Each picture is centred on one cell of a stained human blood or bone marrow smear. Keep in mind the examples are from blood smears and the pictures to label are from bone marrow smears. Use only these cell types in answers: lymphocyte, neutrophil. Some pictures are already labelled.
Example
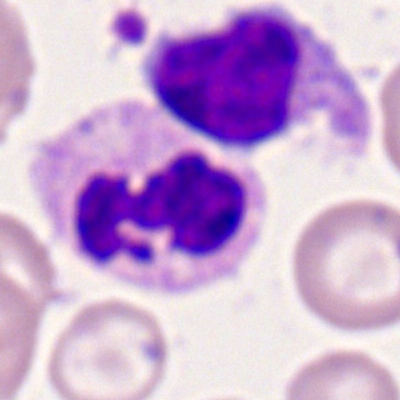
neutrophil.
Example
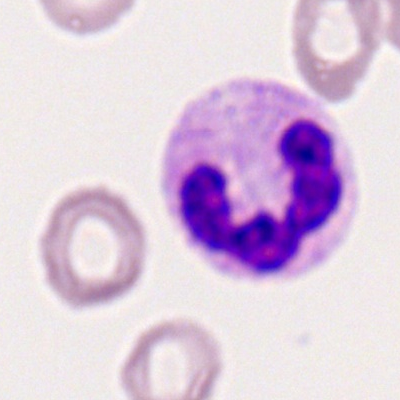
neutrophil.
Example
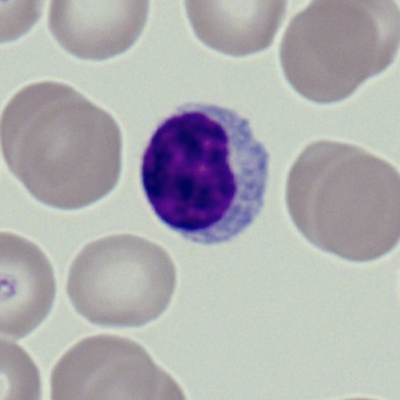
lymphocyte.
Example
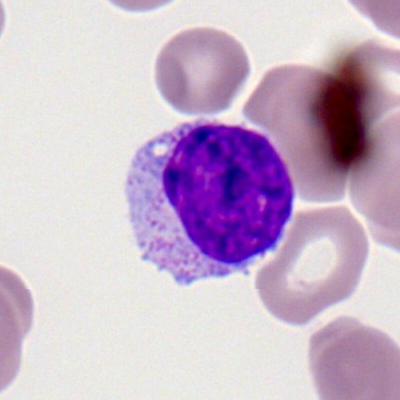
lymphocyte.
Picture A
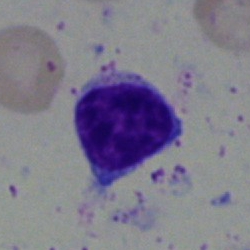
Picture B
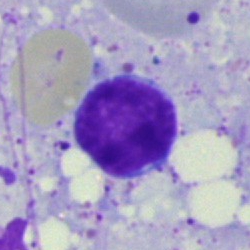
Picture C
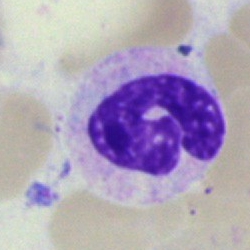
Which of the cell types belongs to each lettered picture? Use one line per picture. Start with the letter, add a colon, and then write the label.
A: lymphocyte.
B: lymphocyte.
C: neutrophil.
